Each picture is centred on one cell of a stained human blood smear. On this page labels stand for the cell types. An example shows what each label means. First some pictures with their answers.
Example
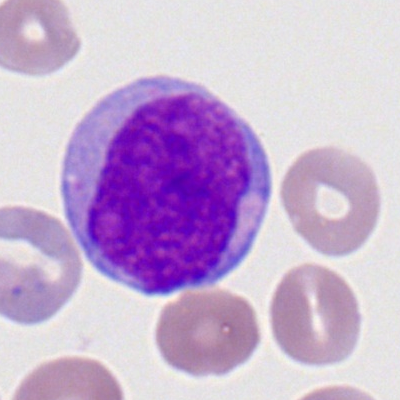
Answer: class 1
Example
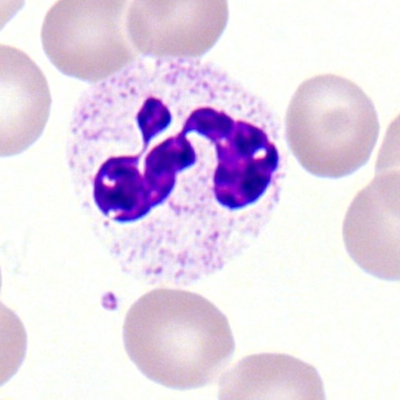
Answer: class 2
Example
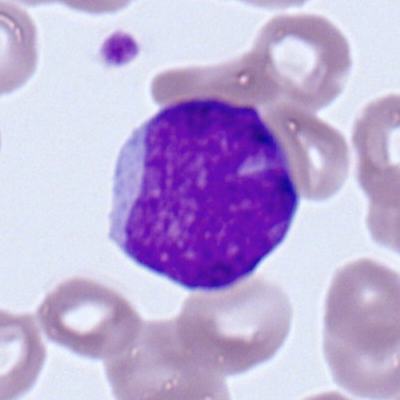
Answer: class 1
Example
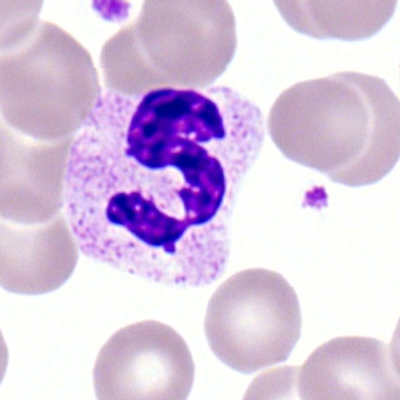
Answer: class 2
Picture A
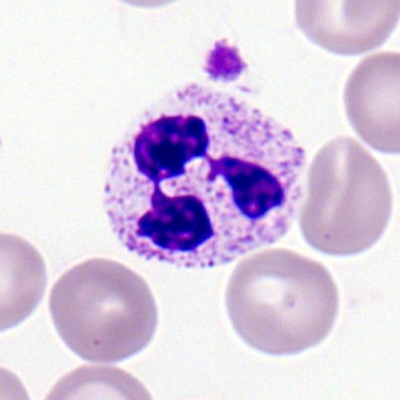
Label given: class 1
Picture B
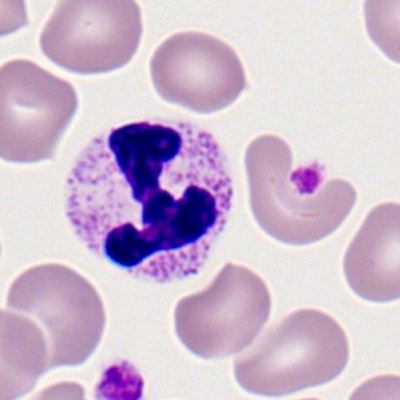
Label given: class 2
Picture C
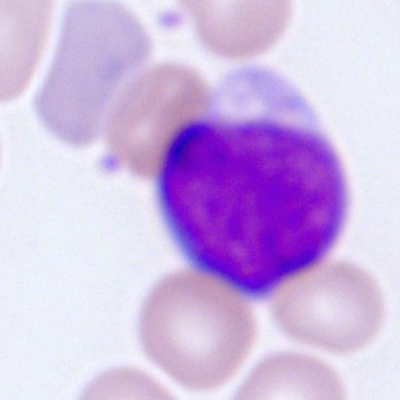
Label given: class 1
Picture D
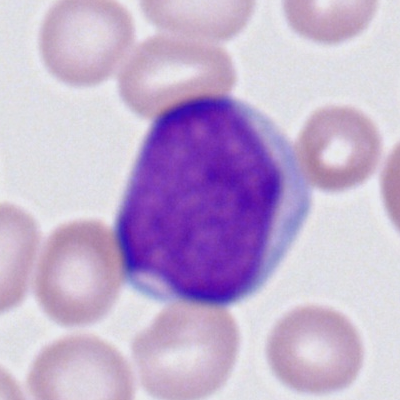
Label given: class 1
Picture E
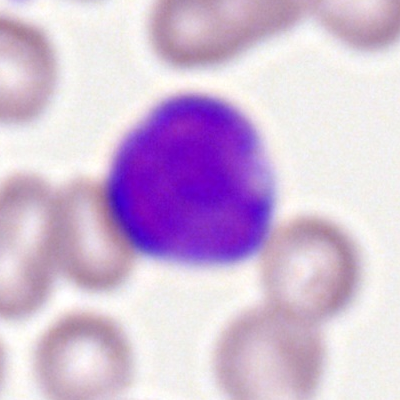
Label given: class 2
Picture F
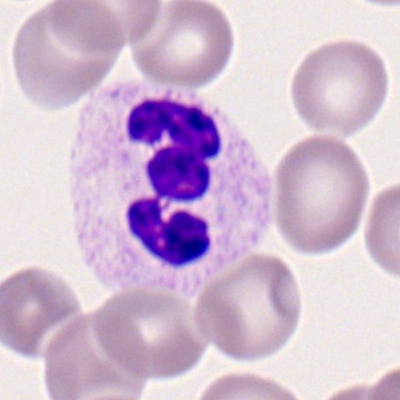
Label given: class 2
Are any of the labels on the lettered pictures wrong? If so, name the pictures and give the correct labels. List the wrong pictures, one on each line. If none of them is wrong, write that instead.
A: change class 1 to class 2
E: change class 2 to class 1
